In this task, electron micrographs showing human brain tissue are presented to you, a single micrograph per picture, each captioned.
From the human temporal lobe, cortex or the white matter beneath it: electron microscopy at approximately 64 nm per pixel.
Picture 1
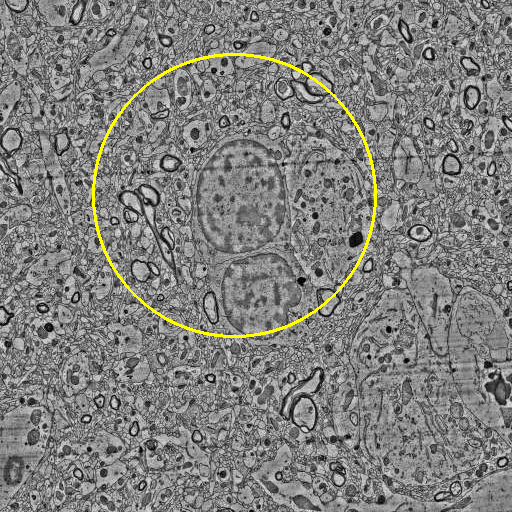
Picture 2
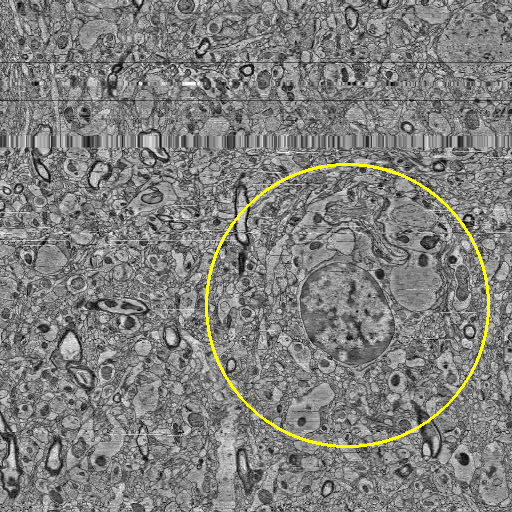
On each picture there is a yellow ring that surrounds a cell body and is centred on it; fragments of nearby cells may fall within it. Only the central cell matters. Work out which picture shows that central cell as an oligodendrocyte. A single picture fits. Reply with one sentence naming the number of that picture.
Of all the pictures, number 1 has the right cell in the centre of its ring.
